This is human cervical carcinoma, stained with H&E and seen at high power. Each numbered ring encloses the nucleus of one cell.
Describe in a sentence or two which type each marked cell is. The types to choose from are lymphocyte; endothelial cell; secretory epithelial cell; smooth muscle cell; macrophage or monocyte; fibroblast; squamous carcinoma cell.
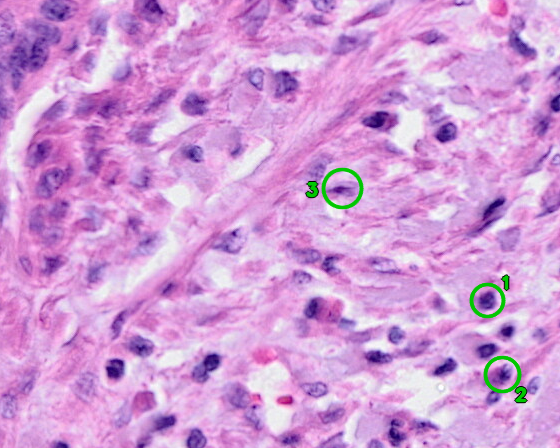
Cell 1 is a lymphocyte, cell 2 is a lymphocyte and cell 3 is a fibroblast.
